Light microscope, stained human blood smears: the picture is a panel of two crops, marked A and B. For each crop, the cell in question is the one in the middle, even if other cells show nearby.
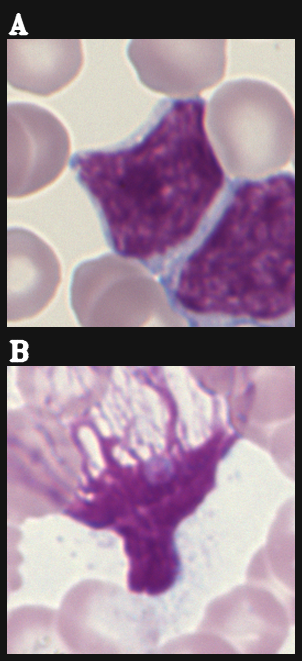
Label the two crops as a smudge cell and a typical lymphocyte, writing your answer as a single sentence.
The cell in crop A is a typical lymphocyte, whereas the cell in crop B is a smudge cell.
